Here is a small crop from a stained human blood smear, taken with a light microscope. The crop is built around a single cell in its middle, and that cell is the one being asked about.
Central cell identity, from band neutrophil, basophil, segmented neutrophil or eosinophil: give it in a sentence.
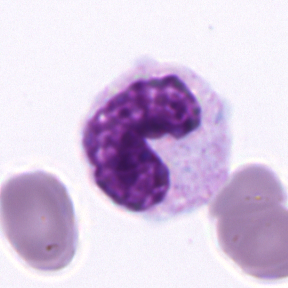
Whatever else lies nearby, the middle cell is a band neutrophil.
